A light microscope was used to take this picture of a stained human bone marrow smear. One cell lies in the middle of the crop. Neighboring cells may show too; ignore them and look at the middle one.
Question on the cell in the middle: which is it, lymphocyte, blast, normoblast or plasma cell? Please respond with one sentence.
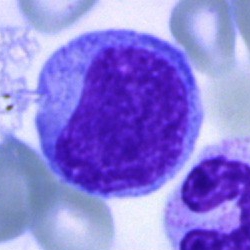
Framed in the middle of the crop is a blast.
